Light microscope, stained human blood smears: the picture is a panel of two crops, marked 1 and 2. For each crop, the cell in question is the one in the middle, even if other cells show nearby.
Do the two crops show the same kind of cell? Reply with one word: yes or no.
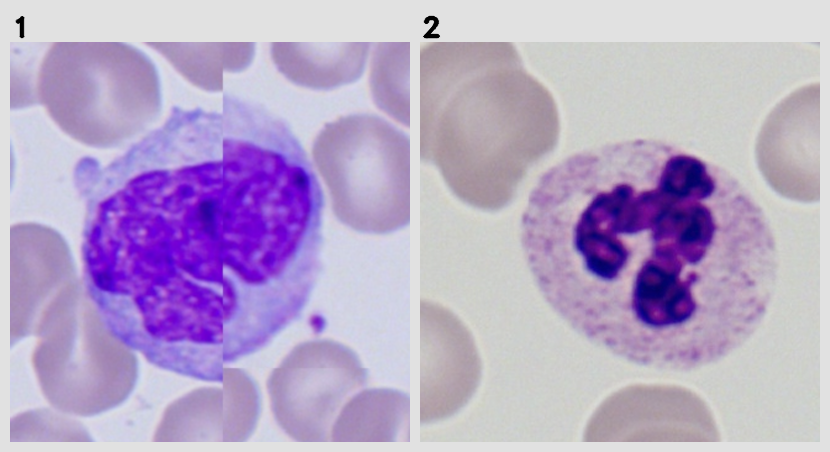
no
